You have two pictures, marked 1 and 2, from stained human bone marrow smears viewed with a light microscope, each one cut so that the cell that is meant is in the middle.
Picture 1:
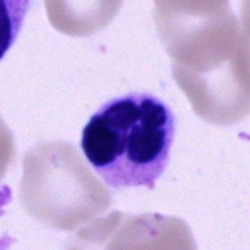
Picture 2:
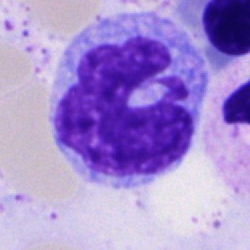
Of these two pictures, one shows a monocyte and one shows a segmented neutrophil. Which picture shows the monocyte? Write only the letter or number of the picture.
2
